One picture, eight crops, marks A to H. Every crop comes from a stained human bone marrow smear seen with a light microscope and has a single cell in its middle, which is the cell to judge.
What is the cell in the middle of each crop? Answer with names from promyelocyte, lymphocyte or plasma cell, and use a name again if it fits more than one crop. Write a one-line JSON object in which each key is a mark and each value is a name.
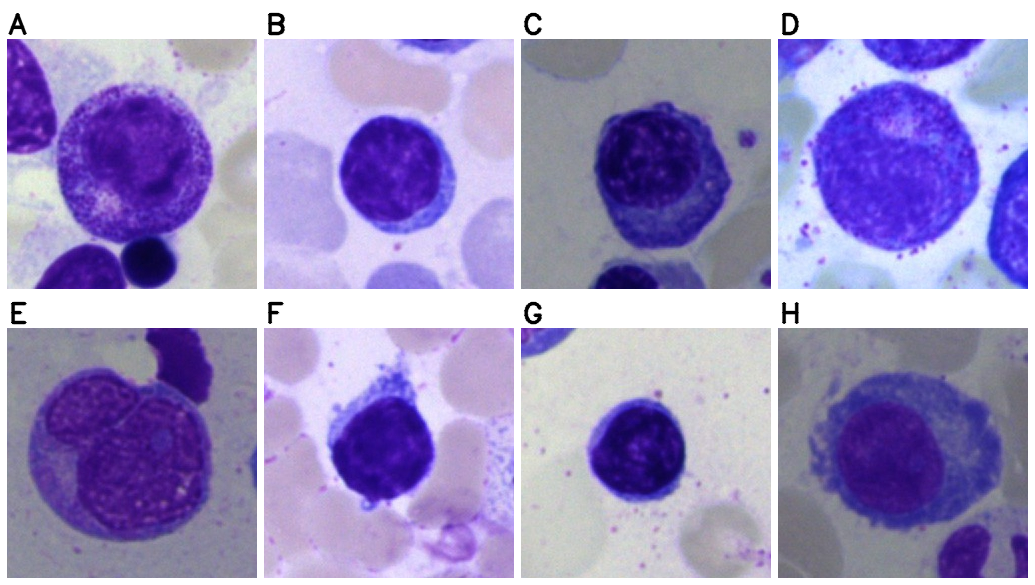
{"A": "promyelocyte", "B": "lymphocyte", "C": "plasma cell", "D": "promyelocyte", "E": "promyelocyte", "F": "lymphocyte", "G": "lymphocyte", "H": "plasma cell"}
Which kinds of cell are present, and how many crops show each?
promyelocyte: 3
lymphocyte: 3
plasma cell: 2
